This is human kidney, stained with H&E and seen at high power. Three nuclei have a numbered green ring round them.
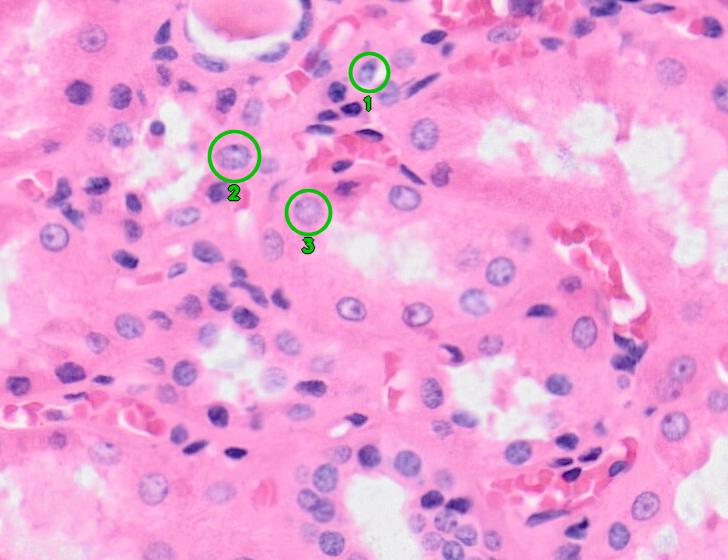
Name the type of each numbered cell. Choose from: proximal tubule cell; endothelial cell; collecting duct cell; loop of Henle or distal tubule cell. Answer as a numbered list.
1. loop of Henle or distal tubule cell
2. loop of Henle or distal tubule cell
3. proximal tubule cell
